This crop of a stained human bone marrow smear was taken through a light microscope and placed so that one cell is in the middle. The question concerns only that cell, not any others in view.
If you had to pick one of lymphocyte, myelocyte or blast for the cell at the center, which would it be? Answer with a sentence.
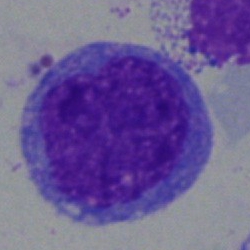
The cell marked by its central position in the crop is a blast.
